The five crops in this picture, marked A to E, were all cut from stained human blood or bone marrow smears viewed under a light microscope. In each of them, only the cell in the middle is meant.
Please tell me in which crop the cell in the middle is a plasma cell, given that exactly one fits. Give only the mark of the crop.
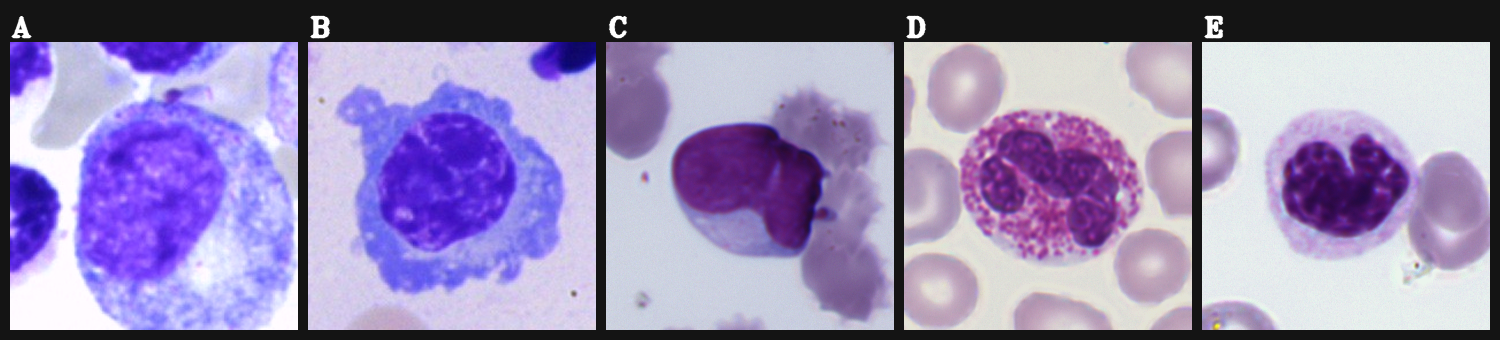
B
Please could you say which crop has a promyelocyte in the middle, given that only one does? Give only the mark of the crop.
A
